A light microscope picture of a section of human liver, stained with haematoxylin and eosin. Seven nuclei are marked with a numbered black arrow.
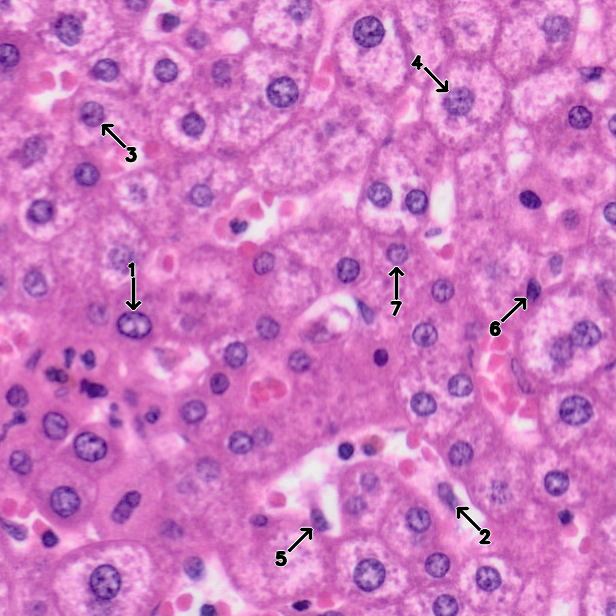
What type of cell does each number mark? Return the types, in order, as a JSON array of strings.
["hepatocyte", "Kupffer cell", "hepatocyte", "hepatocyte", "Kupffer cell", "fibroblast or stellate cell", "hepatocyte"]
